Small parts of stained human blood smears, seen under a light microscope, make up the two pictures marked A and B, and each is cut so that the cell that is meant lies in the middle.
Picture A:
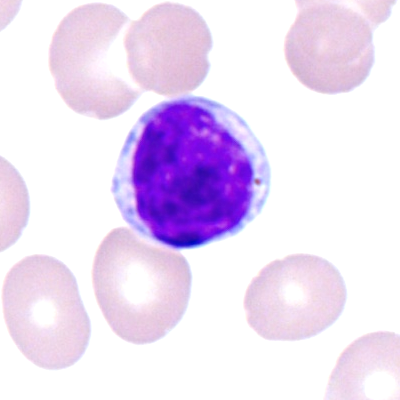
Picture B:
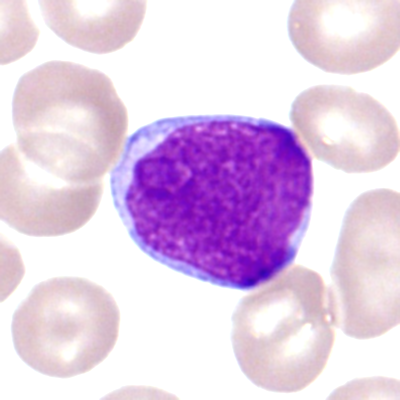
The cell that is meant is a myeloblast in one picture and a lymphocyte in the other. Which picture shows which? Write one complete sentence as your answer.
Picture A is of a lymphocyte, and picture B is of a myeloblast.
